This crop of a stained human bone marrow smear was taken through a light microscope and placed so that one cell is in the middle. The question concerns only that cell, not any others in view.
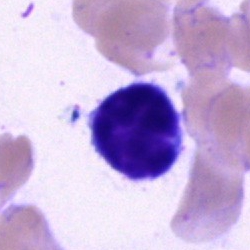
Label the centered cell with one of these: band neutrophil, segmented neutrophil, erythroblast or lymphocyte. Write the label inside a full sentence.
The centered cell in this crop is a lymphocyte.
